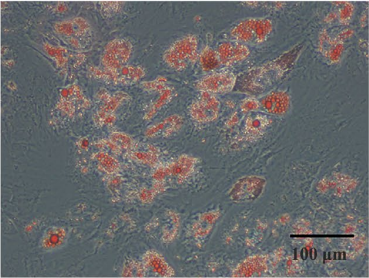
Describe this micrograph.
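The droplets vary in size and crowd the cytoplasm of rounded or polygonal cells that tend to lie in groups. Between these groups lie flat, unstained, spindle-shaped cells without droplets.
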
